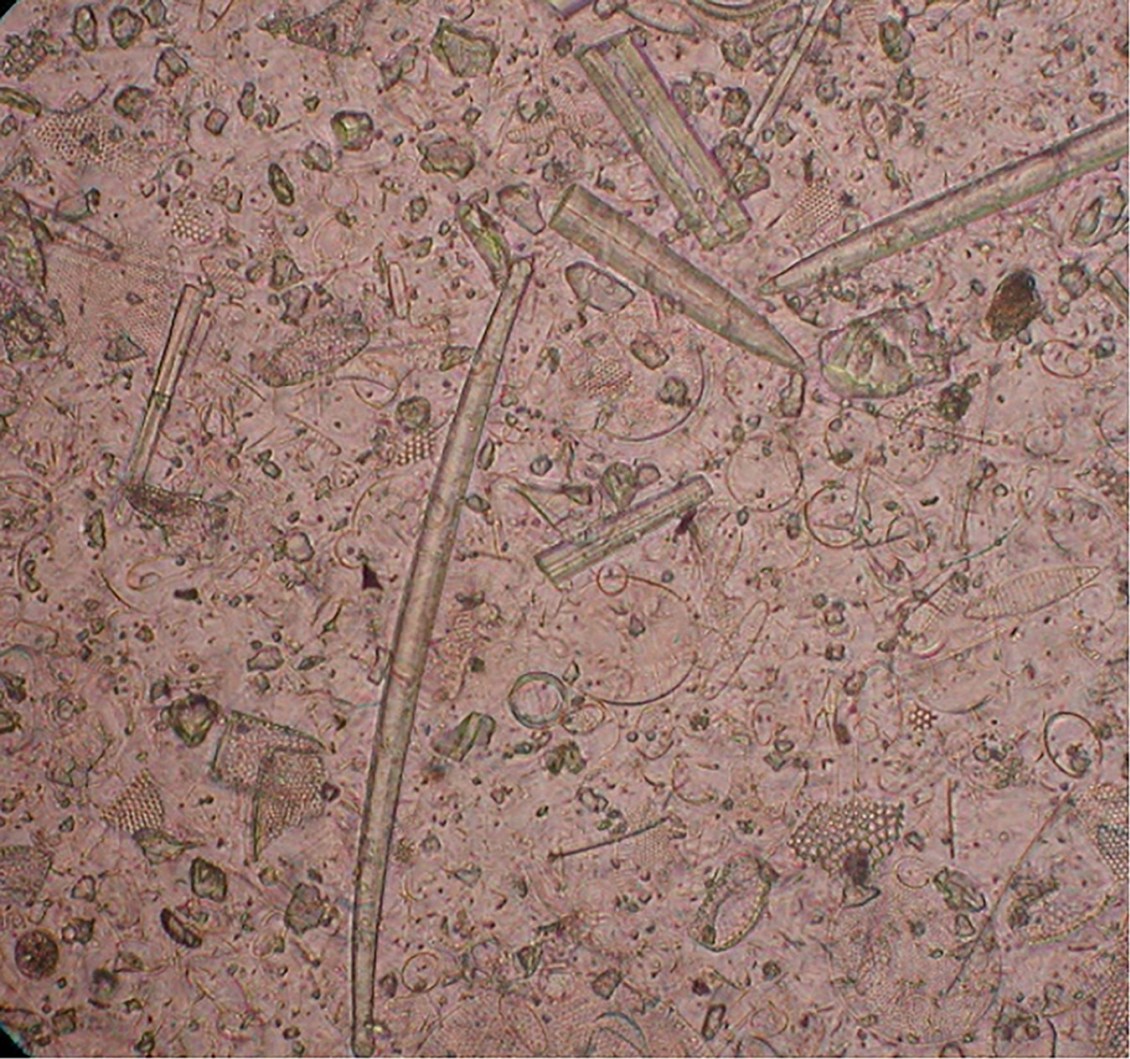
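This is a sample of diatom shells that also contains long sponge spicules and angular mineral grains. Transparent diatom shells are scattered throughout. They include round outlines, elongate spindle-shaped forms and broken fragments with regular honeycomb or row patterns of fine pores. Several long rod-like spicules cross the field, some straight and tapering to a point and one long and gently curved, among many small, dark, irregular grains.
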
